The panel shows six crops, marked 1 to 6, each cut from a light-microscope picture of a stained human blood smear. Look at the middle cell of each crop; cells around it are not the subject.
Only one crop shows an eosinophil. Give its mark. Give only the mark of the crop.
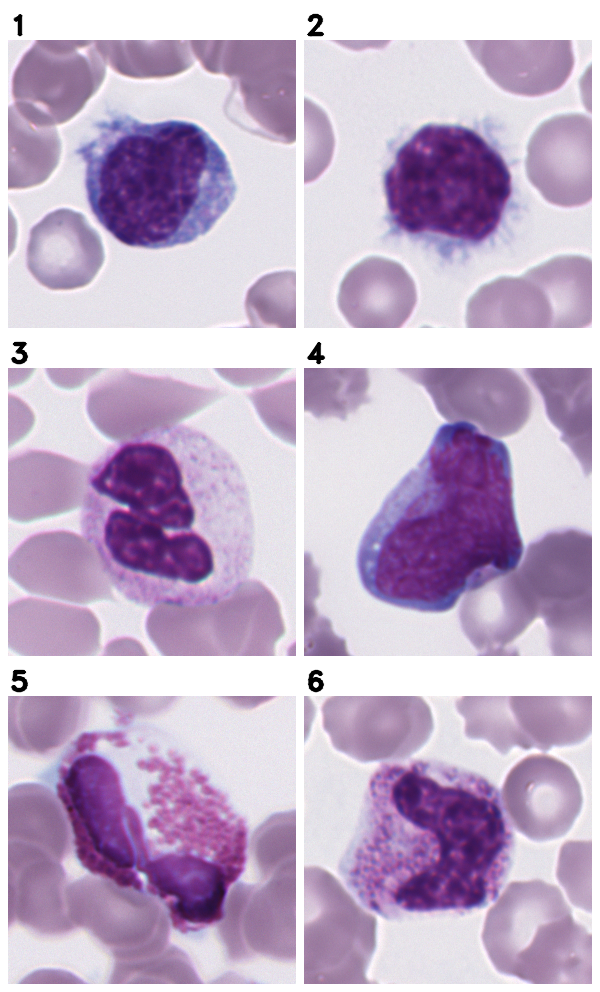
5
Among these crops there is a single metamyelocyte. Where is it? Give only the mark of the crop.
6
